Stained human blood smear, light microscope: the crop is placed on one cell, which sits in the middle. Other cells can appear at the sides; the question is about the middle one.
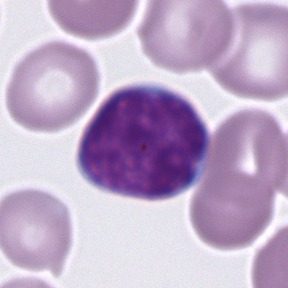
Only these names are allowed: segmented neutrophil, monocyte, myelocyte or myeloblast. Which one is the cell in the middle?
myeloblast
